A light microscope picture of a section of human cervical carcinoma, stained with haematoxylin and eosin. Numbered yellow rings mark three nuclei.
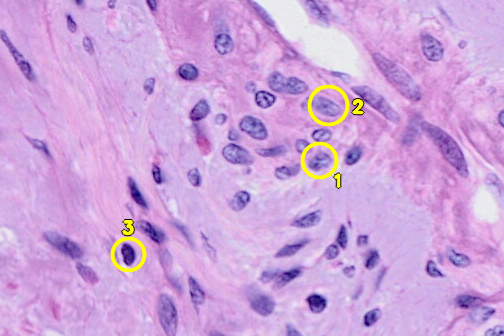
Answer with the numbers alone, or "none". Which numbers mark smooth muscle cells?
1, 2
